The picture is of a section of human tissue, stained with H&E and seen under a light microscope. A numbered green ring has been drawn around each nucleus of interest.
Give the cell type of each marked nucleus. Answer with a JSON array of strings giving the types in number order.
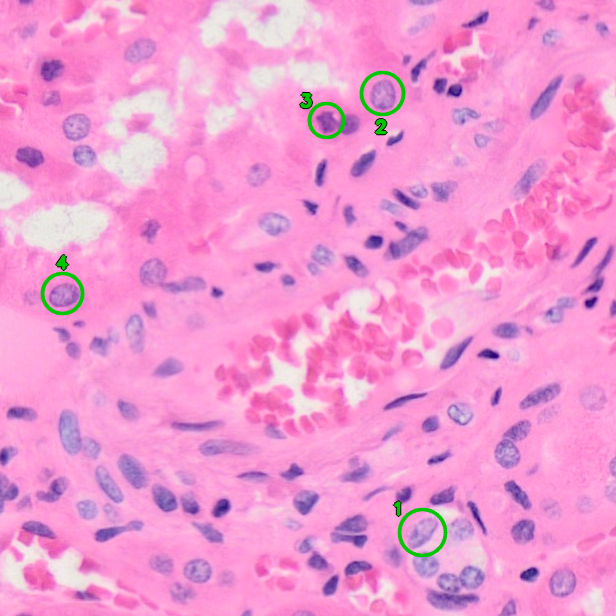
["collecting duct cell", "proximal tubule cell", "proximal tubule cell", "proximal tubule cell"]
